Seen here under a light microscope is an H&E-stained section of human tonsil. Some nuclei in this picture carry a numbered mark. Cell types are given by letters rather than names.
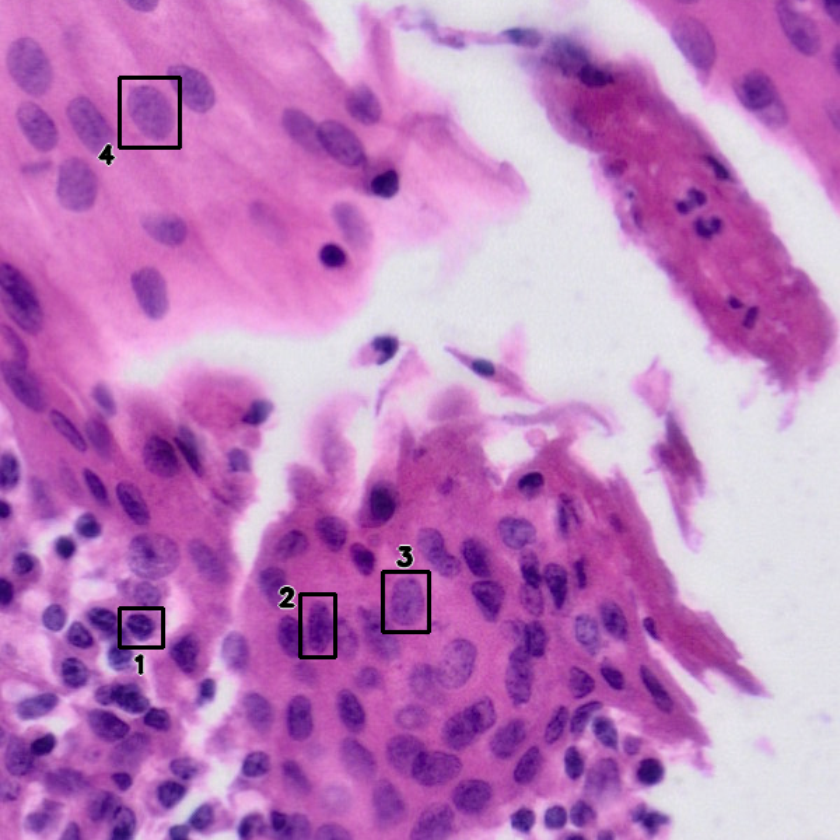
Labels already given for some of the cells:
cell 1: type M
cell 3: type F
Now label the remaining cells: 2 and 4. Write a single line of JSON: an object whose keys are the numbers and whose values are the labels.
{"2": "type F", "4": "type F"}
